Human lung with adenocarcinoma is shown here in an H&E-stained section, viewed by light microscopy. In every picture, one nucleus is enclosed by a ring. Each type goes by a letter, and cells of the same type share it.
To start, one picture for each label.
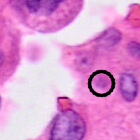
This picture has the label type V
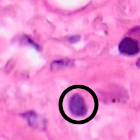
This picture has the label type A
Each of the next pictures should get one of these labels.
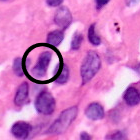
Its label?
type A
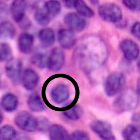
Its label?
type A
